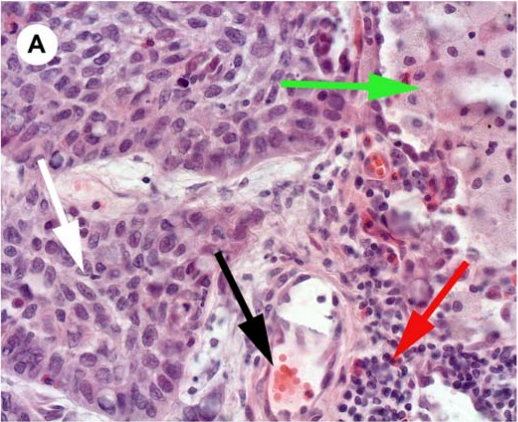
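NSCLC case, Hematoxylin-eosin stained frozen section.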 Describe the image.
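This section of a lung tumour shows a mixture of tissue components rather than tumour cells alone. Large tumour cells with big, irregular purple nuclei lie crowded together in solid sheets on the left. Pink stroma runs between them and carries a blood vessel whose lumen holds bright red blood cells. Nearby, clusters of small lymphocytes with dark round nuclei stand out, and a pale leftover alveolar space above contains loose macrophages with pink cytoplasm.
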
